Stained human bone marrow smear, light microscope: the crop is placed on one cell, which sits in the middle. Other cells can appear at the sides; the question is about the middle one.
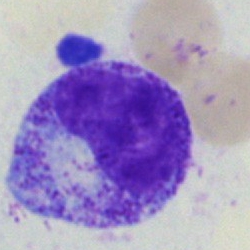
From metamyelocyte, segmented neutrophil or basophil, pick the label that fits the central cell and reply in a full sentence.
Positioned in the middle of the crop is a metamyelocyte.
